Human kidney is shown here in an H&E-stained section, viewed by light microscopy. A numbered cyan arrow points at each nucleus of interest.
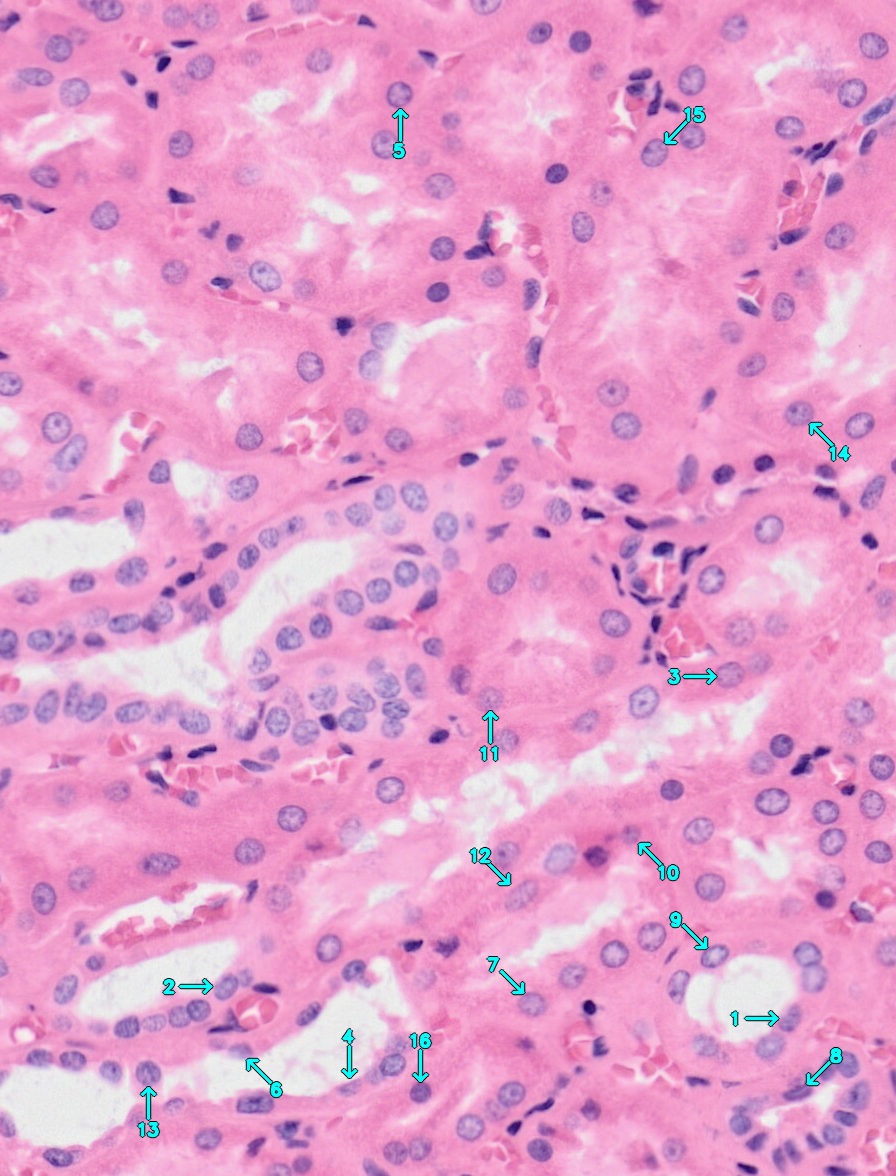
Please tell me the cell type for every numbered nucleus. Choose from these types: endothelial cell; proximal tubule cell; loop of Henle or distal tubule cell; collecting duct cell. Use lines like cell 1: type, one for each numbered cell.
cell 1: loop of Henle or distal tubule cell
cell 2: collecting duct cell
cell 3: proximal tubule cell
cell 4: loop of Henle or distal tubule cell
cell 5: proximal tubule cell
cell 6: loop of Henle or distal tubule cell
cell 7: proximal tubule cell
cell 8: collecting duct cell
cell 9: loop of Henle or distal tubule cell
cell 10: proximal tubule cell
cell 11: proximal tubule cell
cell 12: proximal tubule cell
cell 13: loop of Henle or distal tubule cell
cell 14: proximal tubule cell
cell 15: proximal tubule cell
cell 16: proximal tubule cell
